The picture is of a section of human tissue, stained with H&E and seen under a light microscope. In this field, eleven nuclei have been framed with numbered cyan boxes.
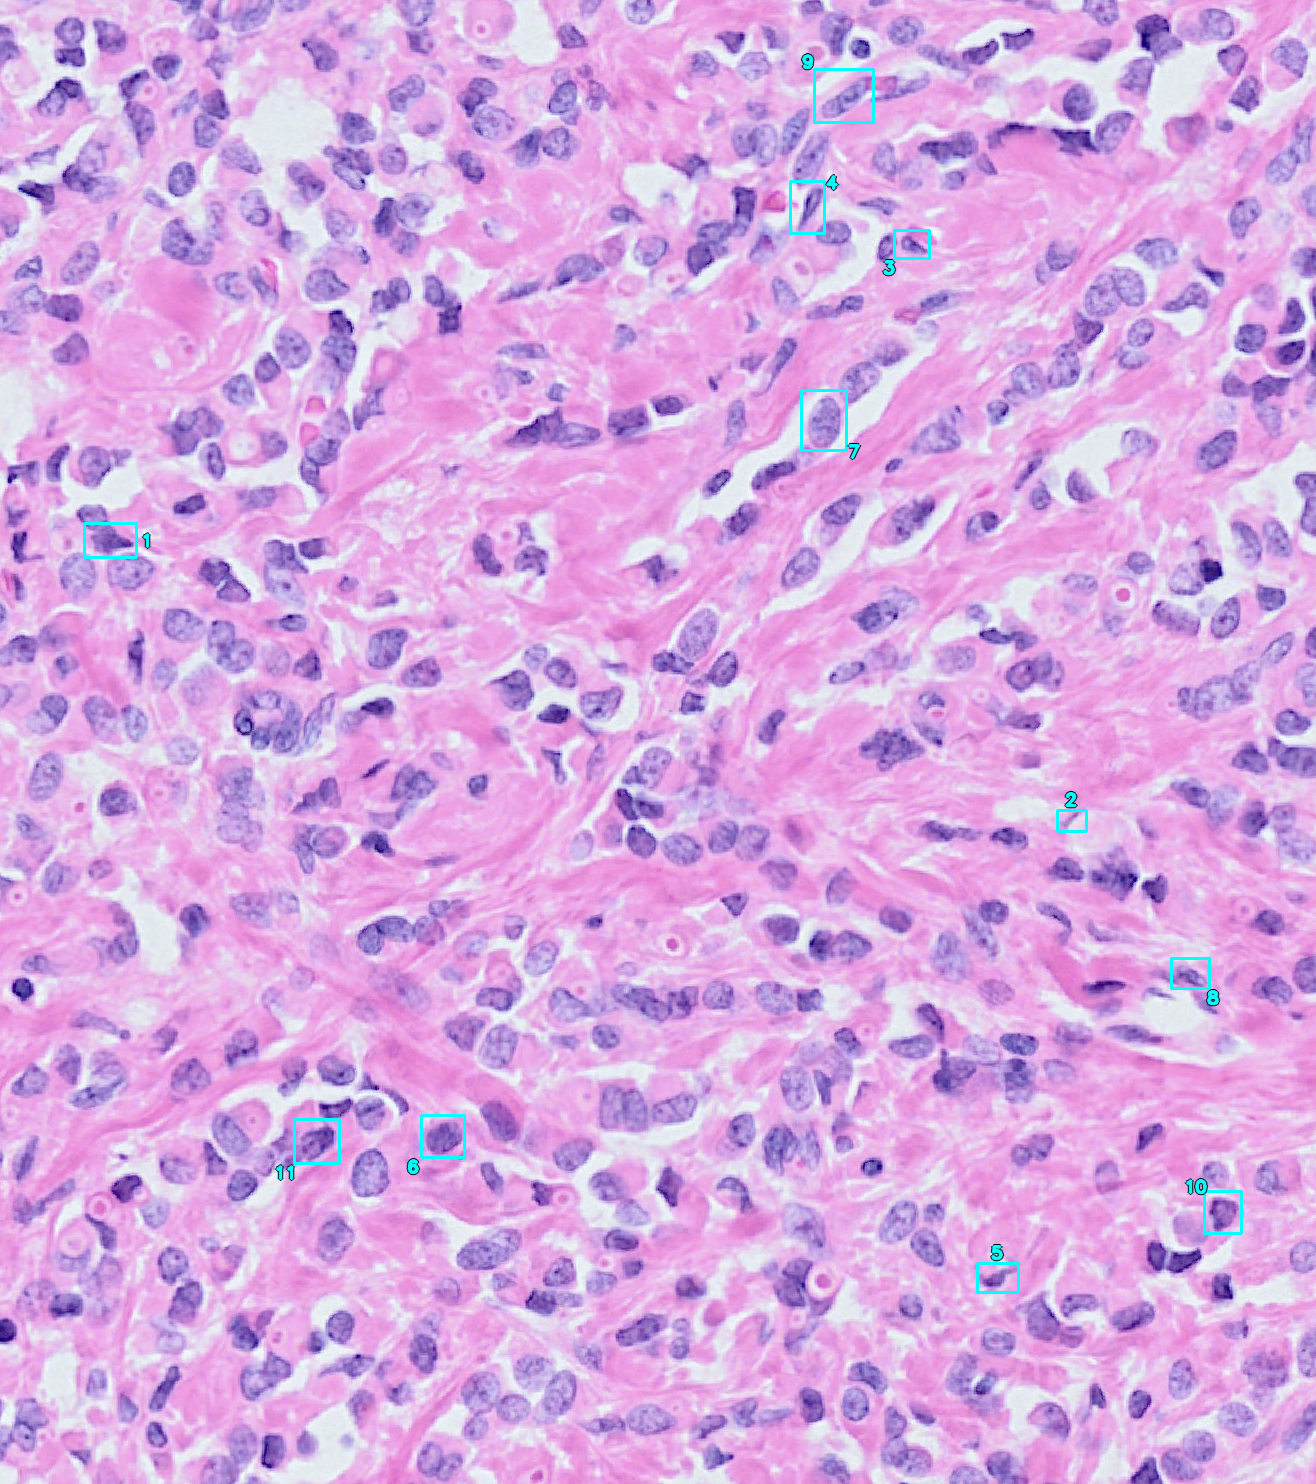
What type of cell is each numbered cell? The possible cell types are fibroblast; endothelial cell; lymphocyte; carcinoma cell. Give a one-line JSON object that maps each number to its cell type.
{"1": "carcinoma cell", "2": "fibroblast", "3": "endothelial cell", "4": "endothelial cell", "5": "fibroblast", "6": "carcinoma cell", "7": "carcinoma cell", "8": "endothelial cell", "9": "endothelial cell", "10": "carcinoma cell", "11": "carcinoma cell"}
